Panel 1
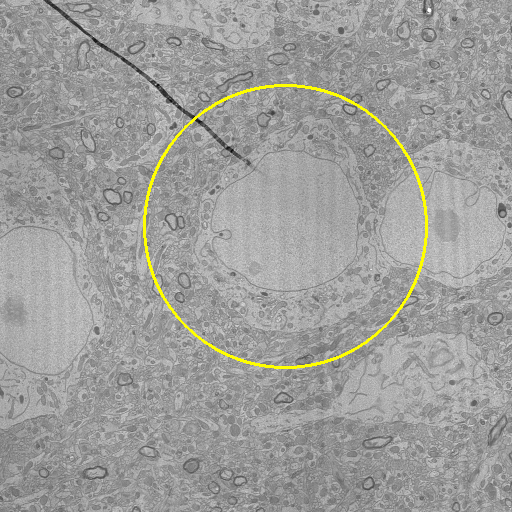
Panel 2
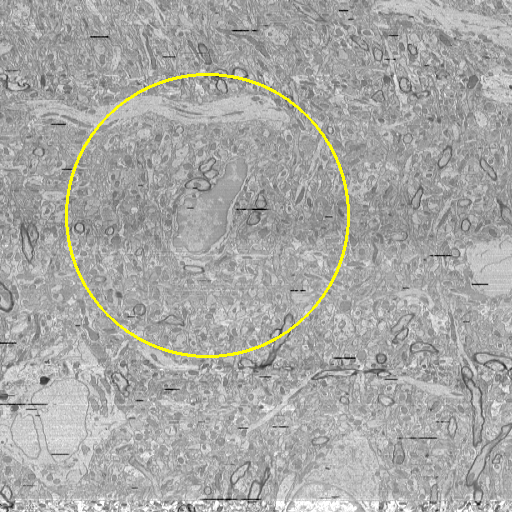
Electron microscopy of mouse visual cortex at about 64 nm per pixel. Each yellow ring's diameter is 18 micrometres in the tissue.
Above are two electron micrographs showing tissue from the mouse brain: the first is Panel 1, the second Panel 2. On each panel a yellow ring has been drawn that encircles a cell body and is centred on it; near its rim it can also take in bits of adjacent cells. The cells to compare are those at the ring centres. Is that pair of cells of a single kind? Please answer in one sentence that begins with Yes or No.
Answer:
No, the ring-centred cells of Panel 1 and Panel 2 belong to two kinds.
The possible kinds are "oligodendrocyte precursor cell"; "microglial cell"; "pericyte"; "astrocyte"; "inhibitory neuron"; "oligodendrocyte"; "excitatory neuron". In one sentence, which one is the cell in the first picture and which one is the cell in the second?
The cell ringed in the second picture is a microglial cell, whereas the one ringed in the first is an excitatory neuron.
